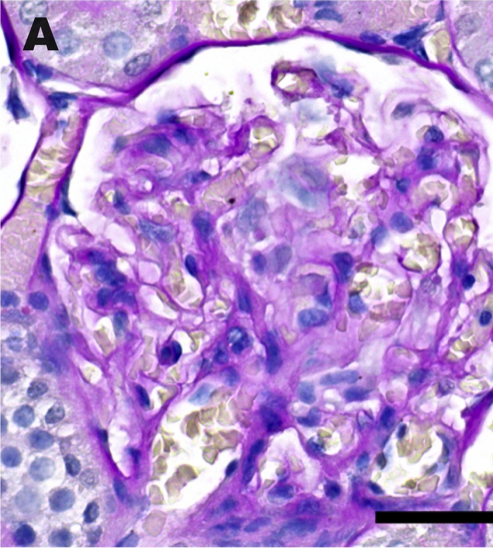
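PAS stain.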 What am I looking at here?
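This is kidney cortex showing a glomerulus enclosed by a thin magenta-outlined Bowman's capsule, with a clear urinary space between the capsule and the capillary tuft. The tuft is made of capillary loops outlined by magenta basement membranes, many containing yellowish-brown red blood cells, with dark blue nuclei scattered between the loops. The centre of the tuft holds a paler, pinkish-lilac area of matrix. Around the capsule lie tubules with pale pink-lilac cytoplasm and round blue nuclei.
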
